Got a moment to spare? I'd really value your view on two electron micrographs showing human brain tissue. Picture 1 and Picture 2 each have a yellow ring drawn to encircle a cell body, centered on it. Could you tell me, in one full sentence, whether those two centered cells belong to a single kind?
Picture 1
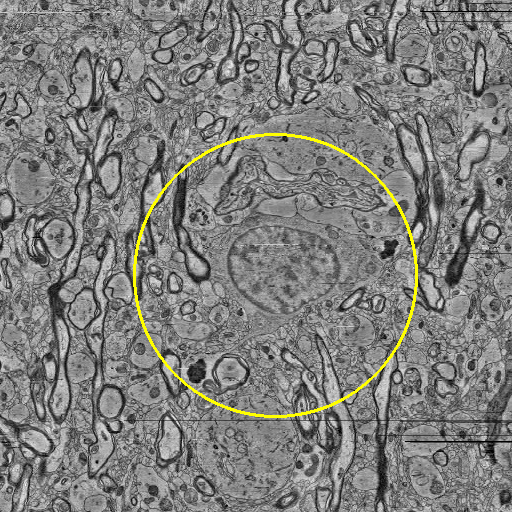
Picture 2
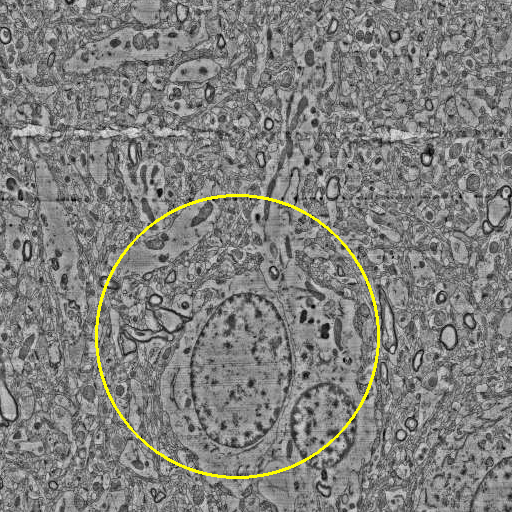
No, the two centered cells in Picture 1 and Picture 2 are of two kinds.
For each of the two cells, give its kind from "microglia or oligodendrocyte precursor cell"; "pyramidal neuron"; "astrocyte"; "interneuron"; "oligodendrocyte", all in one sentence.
The first picture has an oligodendrocyte in its ring, the second has an astrocyte.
